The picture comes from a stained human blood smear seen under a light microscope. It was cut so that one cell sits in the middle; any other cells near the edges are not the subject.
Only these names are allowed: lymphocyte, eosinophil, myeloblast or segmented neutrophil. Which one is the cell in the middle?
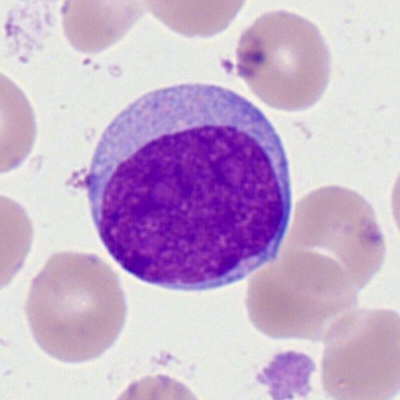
myeloblast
